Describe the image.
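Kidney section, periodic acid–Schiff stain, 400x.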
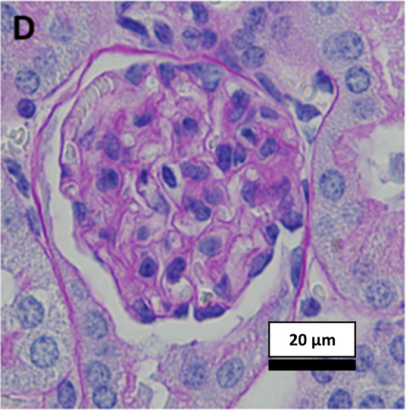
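The lobulated tuft of capillary loops shows delicate magenta lines between the blue-purple nuclei, and small open capillary lumens. A crisp magenta line marks the capsule, and a clear crescent of space lies between it and the tuft. Outside, tubules are lined by epithelial cells with pale, slightly bluish cytoplasm and round nuclei, each tubule bounded by its own thin magenta basement membrane.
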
